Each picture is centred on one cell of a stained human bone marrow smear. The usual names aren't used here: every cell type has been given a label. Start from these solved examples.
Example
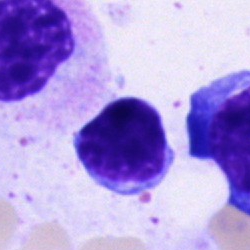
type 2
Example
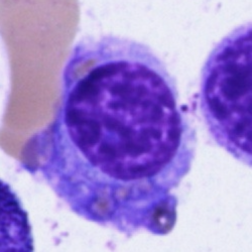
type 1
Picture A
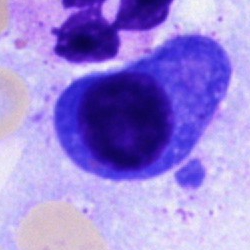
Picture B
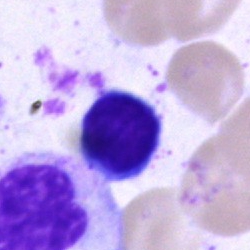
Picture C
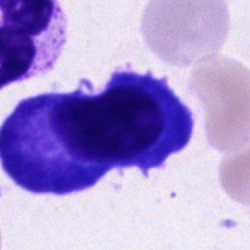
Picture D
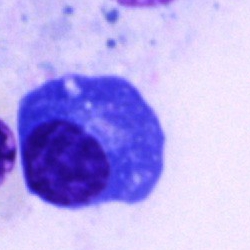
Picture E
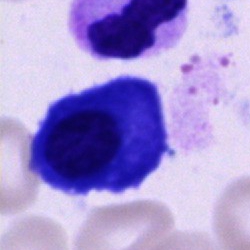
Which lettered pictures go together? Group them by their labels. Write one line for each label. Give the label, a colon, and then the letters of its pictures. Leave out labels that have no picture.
type 2: B
type 1: A, C, D, E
